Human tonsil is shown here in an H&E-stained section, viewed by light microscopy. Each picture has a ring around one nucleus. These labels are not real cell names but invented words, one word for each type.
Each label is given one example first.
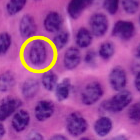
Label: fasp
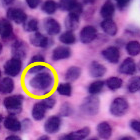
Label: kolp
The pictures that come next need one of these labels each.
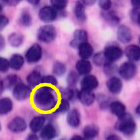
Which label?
kolp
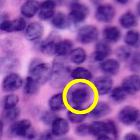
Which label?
kolp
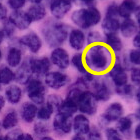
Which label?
kolp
